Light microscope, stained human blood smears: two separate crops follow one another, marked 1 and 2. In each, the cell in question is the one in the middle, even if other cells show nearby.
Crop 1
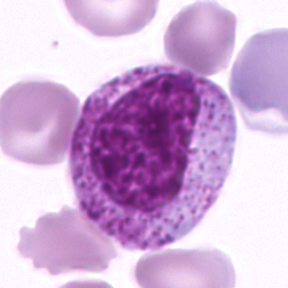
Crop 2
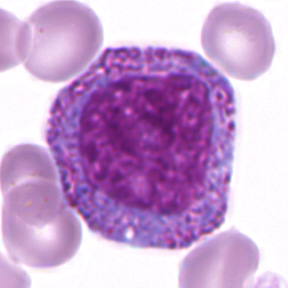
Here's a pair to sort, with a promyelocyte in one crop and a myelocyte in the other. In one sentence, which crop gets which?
Crop 1 is designated a myelocyte, and crop 2 is designated a promyelocyte.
